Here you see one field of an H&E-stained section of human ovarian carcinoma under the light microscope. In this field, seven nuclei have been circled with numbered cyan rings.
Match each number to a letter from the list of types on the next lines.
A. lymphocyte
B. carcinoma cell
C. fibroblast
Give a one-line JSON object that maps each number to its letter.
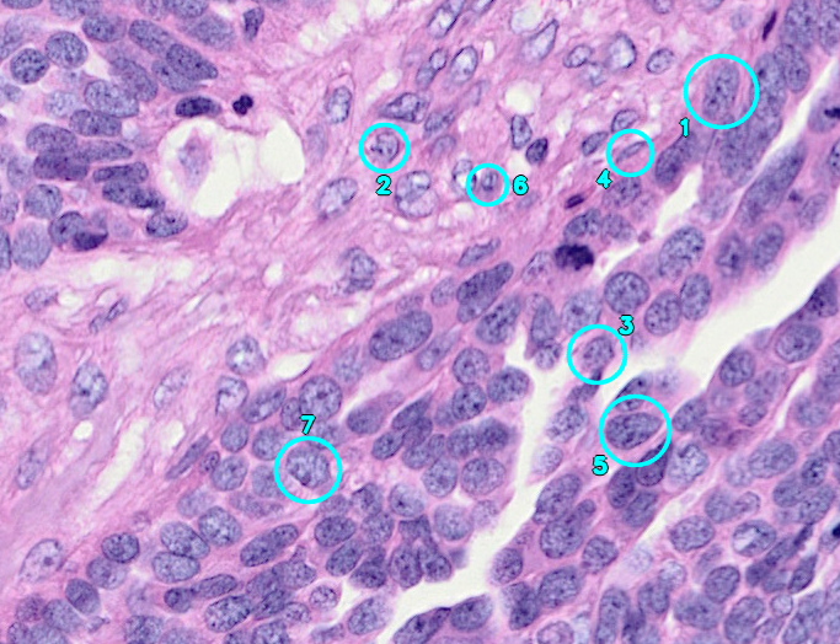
{"1": "B", "2": "C", "3": "B", "4": "C", "5": "B", "6": "C", "7": "B"}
